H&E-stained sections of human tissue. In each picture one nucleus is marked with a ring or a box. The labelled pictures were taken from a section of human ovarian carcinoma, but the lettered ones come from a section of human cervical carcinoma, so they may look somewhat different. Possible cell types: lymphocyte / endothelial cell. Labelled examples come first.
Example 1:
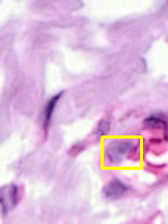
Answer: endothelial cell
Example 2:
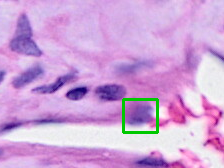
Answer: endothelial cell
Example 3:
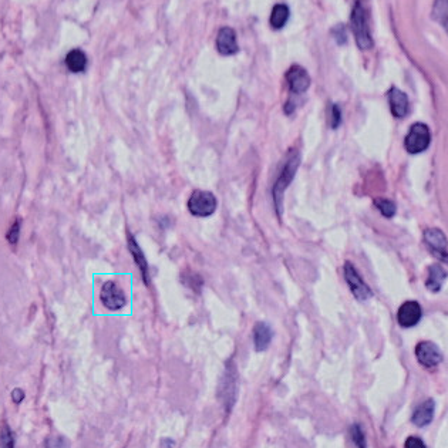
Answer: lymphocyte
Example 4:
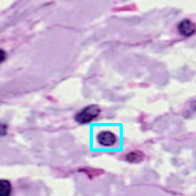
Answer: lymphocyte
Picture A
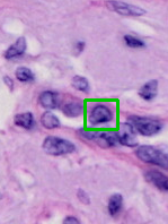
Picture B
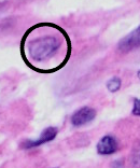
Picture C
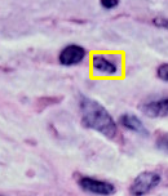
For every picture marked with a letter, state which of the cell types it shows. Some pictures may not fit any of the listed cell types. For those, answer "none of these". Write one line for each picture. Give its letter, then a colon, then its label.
A: endothelial cell
B: none of these
C: lymphocyte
